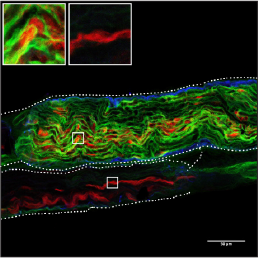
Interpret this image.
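The upper, thick nerve segment is outlined by a dotted line and bounded by a thin blue perineurial layer. Inside, strands of red and green are wound into wavy, tortuous bundles rather than running straight along the nerve, and the green signal fills much of the interior between the red strands. A thinner segment below contains fewer, wavy red profiles with little green.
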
